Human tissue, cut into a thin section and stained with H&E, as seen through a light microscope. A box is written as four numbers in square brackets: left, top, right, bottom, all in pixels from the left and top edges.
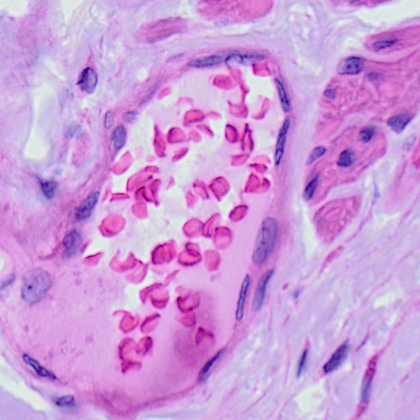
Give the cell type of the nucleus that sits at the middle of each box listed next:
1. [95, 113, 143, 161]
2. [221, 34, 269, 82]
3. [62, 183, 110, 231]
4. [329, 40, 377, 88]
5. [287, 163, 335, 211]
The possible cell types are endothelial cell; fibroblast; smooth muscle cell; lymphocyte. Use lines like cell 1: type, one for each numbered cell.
cell 1: endothelial cell
cell 2: endothelial cell
cell 3: endothelial cell
cell 4: smooth muscle cell
cell 5: smooth muscle cell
